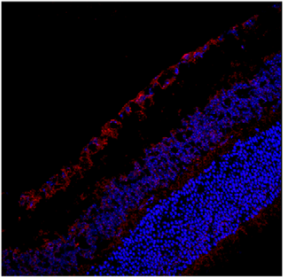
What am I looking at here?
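A section of neural retina showing its layered organisation. At the top a thin sparse row of cells forms the ganglion cell layer, with red labelling along it. Below a nucleus-poor band lies the inner nuclear layer, a band of blue nuclei several cells deep with red between them. A broad, much thicker band of tightly packed small round blue nuclei forms the outer nuclear layer at the bottom, with red along its edges. The layers run in parallel curved bands across the field.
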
